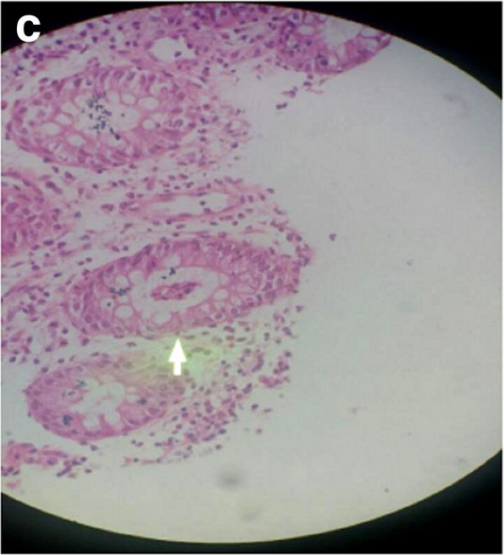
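Colonic mucosa shows several crypts cut in cross-section, each lined by a single layer of tall columnar epithelial cells with pale, mucin-filled goblet cells and basal nuclei. The lamina propria between the crypts holds numerous scattered mononuclear and other inflammatory cells. Small, dark, compact nuclei are seen inside crypt lumens and within the crypt epithelium. The tissue is pink with purple nuclei, and part of the field at right is empty background.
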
